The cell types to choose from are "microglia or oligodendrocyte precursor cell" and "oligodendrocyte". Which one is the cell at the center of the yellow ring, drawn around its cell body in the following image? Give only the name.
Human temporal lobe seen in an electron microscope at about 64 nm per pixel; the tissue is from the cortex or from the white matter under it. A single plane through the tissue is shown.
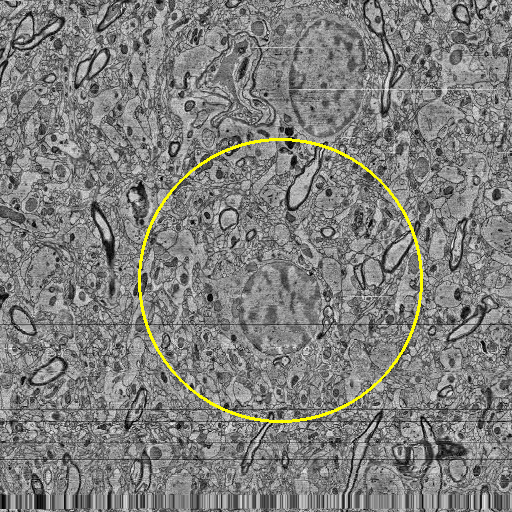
oligodendrocyte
